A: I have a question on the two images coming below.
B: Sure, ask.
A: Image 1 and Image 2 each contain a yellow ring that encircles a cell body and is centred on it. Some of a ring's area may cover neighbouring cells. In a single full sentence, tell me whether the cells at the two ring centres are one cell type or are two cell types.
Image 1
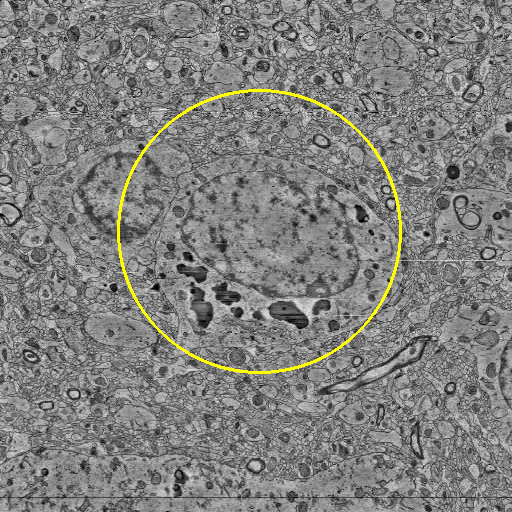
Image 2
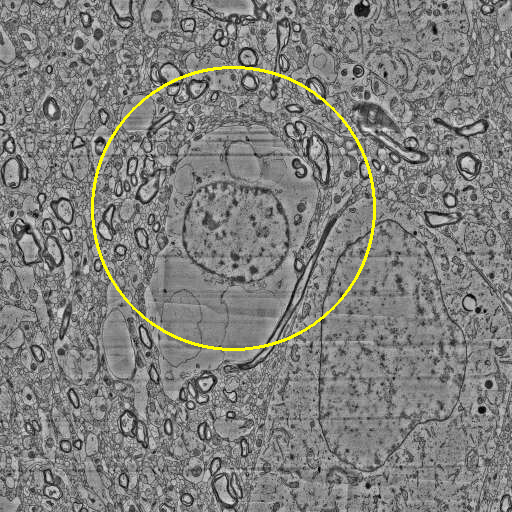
As for the ring-centre cells, the one in Image 1 and the one in Image 2 are two cell types.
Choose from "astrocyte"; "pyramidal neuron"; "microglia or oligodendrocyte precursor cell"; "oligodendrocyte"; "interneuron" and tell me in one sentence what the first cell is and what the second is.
What the first ring is centred on is an interneuron; what the second ring is centred on is an astrocyte.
